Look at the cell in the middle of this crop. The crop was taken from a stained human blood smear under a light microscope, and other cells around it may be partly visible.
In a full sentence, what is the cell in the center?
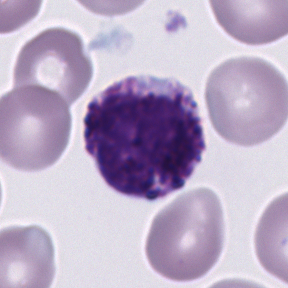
In short, the cell at the center is a basophil.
